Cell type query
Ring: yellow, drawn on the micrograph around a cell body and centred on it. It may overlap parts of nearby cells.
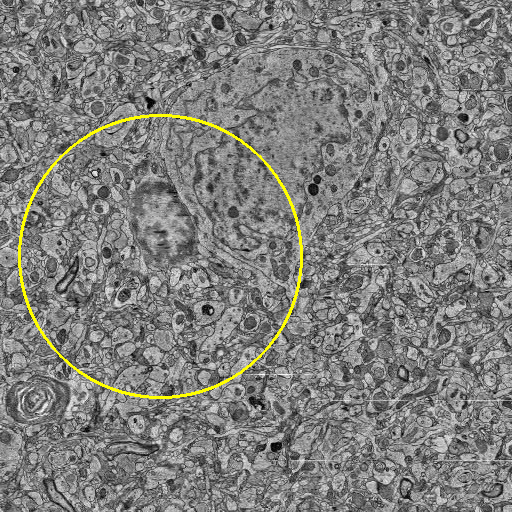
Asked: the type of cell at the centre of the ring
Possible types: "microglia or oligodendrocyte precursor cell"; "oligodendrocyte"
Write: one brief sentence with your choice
The ring marks an oligodendrocyte.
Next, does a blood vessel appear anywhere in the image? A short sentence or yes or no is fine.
No, no blood vessel shows in the picture.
